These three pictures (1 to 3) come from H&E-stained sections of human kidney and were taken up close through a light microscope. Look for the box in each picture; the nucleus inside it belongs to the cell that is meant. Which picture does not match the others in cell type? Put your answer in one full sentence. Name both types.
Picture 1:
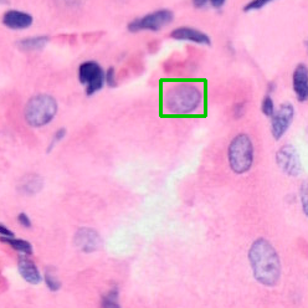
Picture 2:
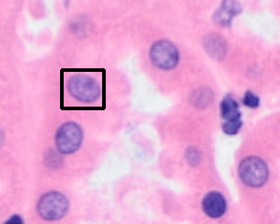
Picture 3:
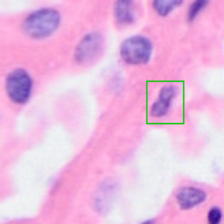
The others show proximal tubule cells, but picture 3 shows a “loop of Henle or distal tubule cell”.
